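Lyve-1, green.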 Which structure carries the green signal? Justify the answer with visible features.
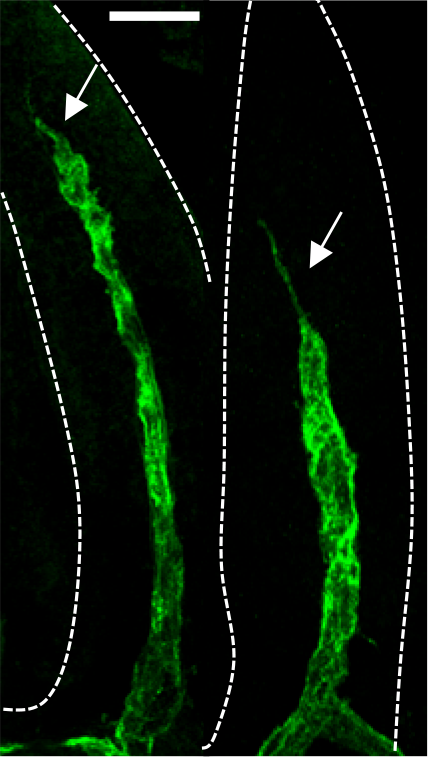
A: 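A single blind-ended green vessel runs up the centre of each outlined finger-like projection. That points to this answer: lacteals.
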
